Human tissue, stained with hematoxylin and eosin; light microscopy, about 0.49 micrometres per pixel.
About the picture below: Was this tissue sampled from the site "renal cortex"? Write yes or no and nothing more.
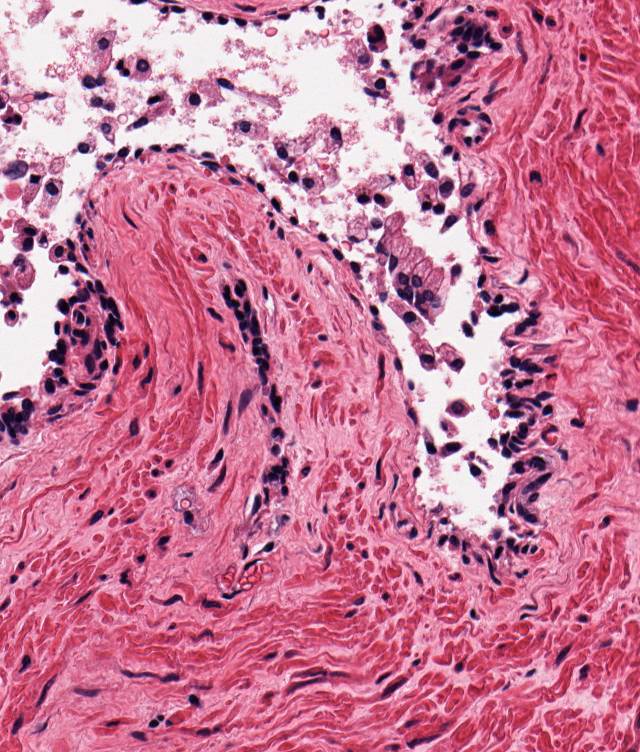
no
